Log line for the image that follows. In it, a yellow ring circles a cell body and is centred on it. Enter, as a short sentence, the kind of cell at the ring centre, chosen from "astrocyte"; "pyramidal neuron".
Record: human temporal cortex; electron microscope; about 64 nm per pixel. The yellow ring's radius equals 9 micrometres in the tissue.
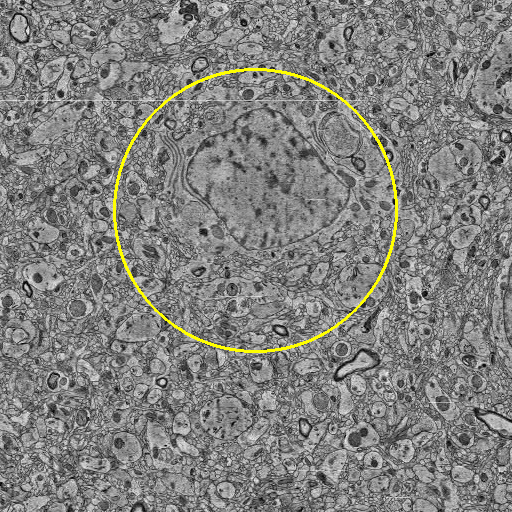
The ring centre is occupied by an astrocyte.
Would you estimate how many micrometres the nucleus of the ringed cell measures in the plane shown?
The nucleus is about 10 micrometres across in this plane.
